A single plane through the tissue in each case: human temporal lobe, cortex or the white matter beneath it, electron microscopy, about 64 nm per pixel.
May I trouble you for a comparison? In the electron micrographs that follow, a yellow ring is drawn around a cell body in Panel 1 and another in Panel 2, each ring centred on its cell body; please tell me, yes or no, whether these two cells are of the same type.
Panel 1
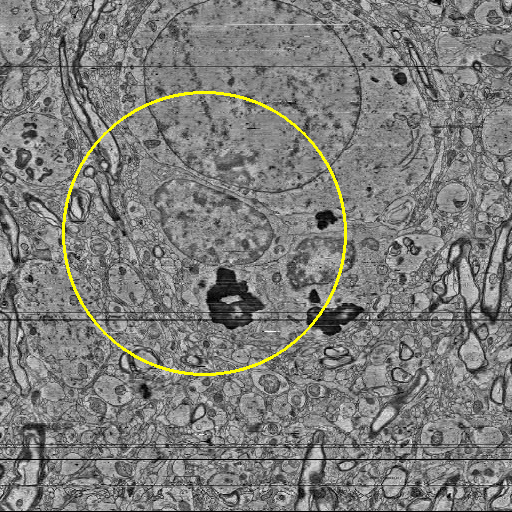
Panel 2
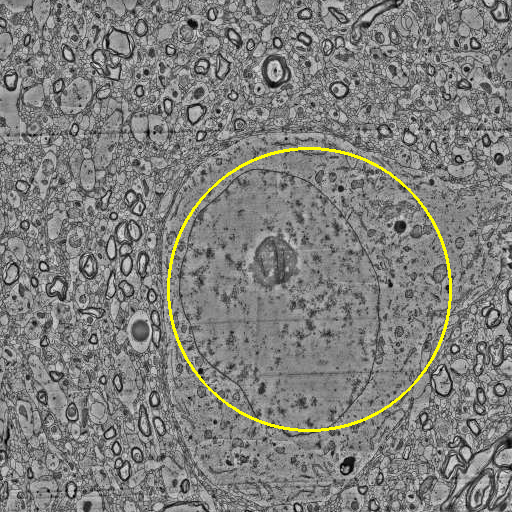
no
